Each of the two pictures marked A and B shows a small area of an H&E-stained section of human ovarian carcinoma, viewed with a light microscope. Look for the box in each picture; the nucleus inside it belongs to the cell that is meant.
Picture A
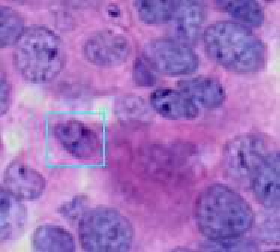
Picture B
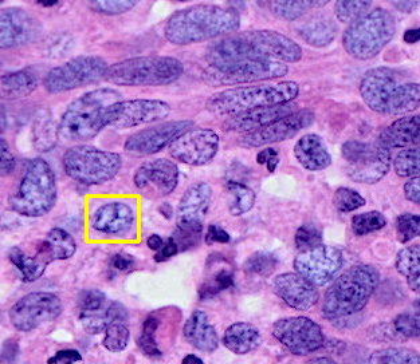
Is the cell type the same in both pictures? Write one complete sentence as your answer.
Yes, the two pictures both show “macrophages or monocytes”.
